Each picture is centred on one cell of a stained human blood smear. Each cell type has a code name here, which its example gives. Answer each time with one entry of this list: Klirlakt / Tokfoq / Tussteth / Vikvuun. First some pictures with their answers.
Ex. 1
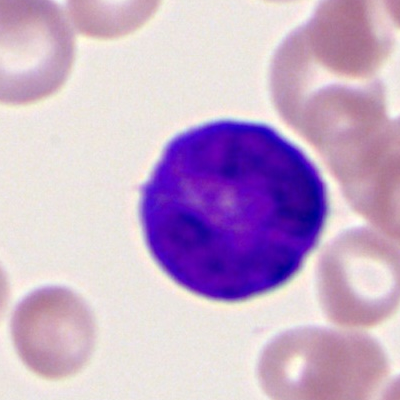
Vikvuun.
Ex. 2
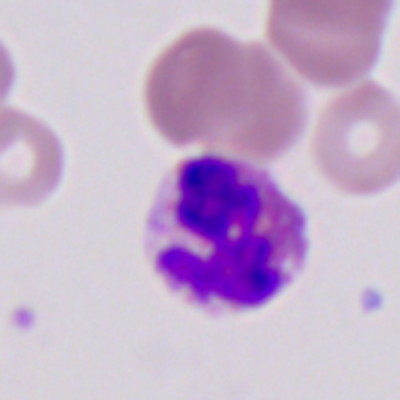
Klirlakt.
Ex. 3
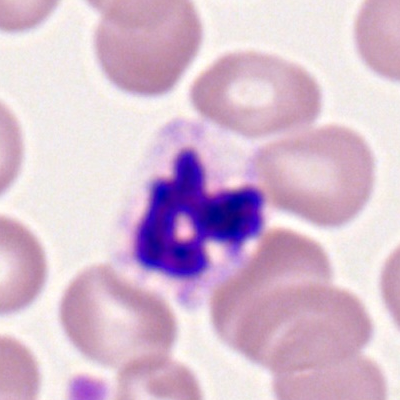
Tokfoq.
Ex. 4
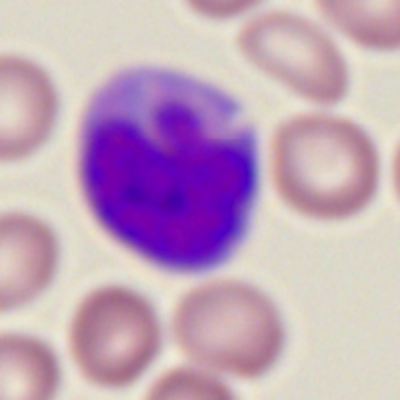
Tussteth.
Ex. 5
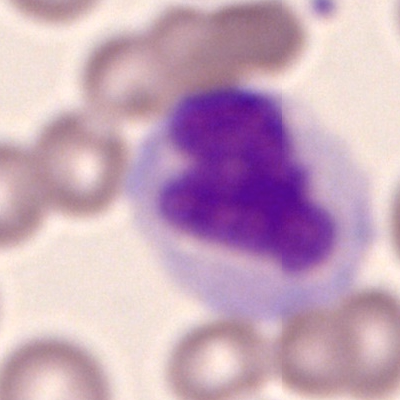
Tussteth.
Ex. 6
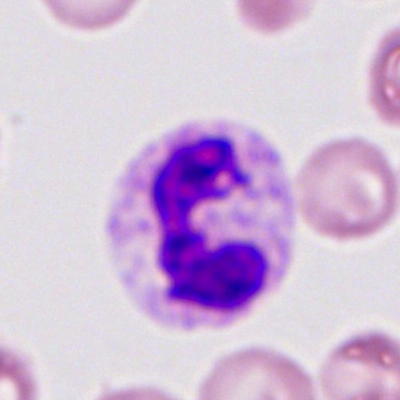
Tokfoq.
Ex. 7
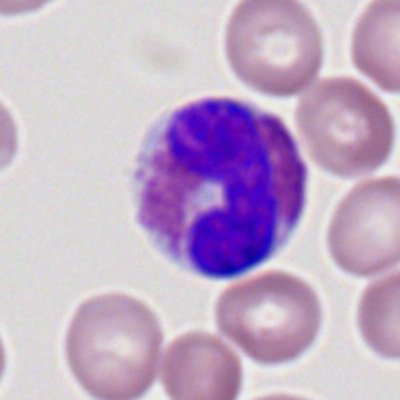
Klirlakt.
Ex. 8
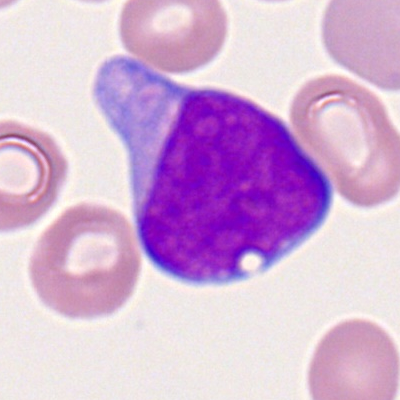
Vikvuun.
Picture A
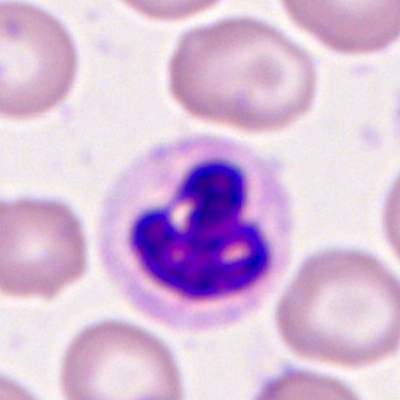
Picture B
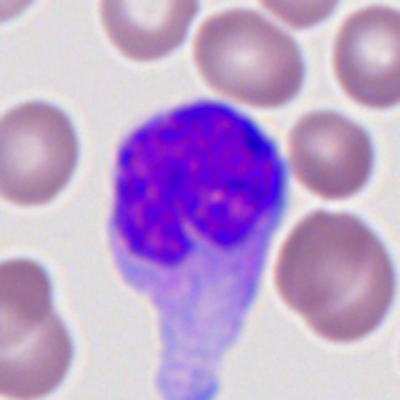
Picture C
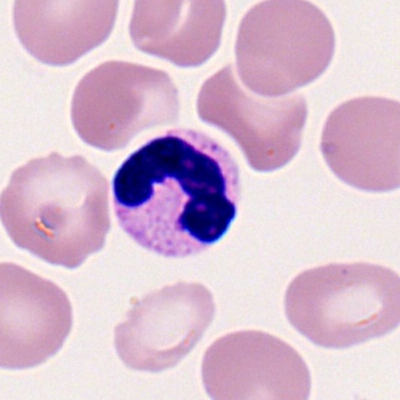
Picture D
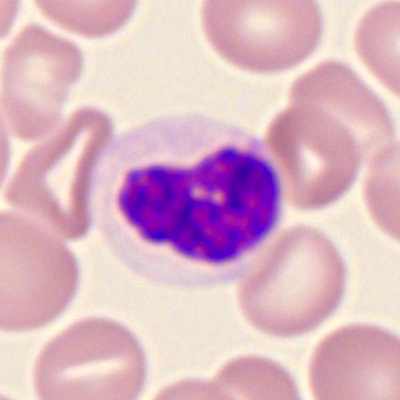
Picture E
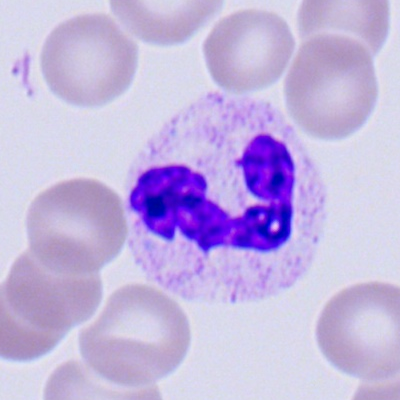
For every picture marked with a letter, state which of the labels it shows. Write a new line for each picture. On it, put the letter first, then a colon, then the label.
A: Tokfoq.
B: Tussteth.
C: Tokfoq.
D: Tokfoq.
E: Tokfoq.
